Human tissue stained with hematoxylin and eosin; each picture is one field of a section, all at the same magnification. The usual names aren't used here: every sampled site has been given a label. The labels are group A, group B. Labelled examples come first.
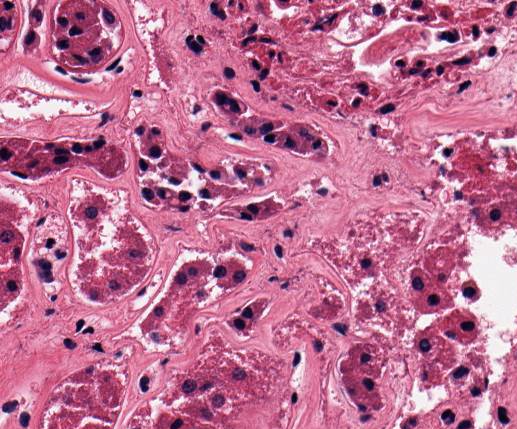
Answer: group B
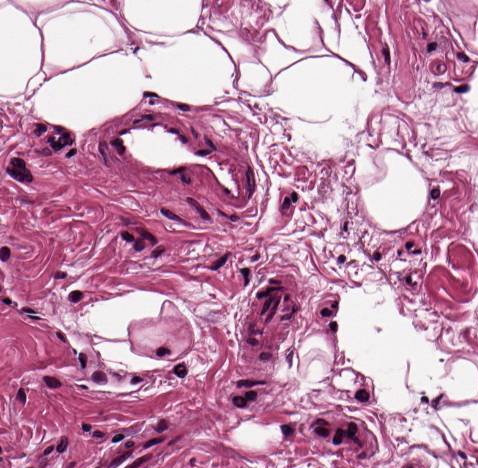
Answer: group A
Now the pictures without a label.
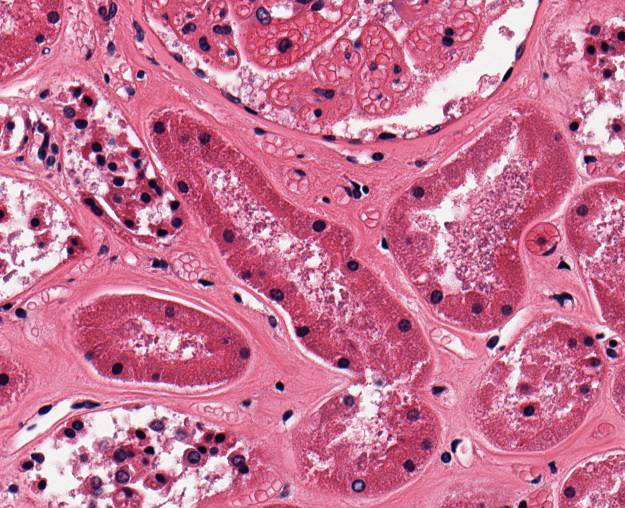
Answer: group B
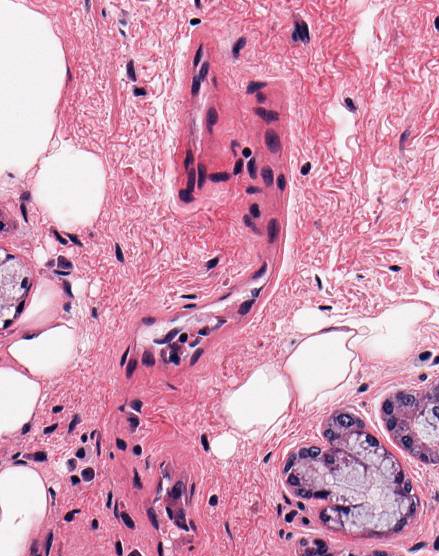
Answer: group A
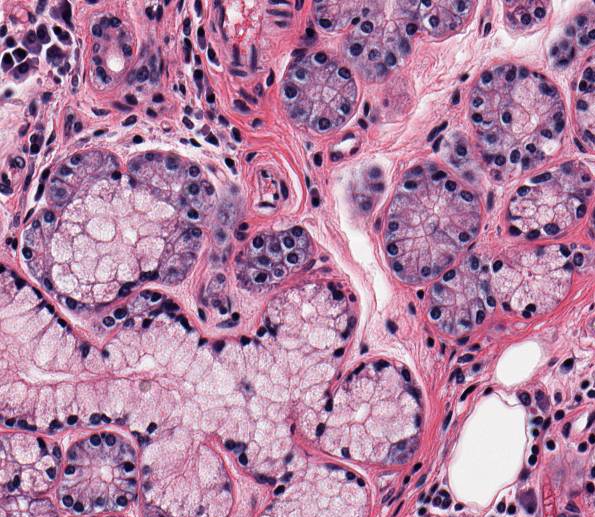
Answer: group A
